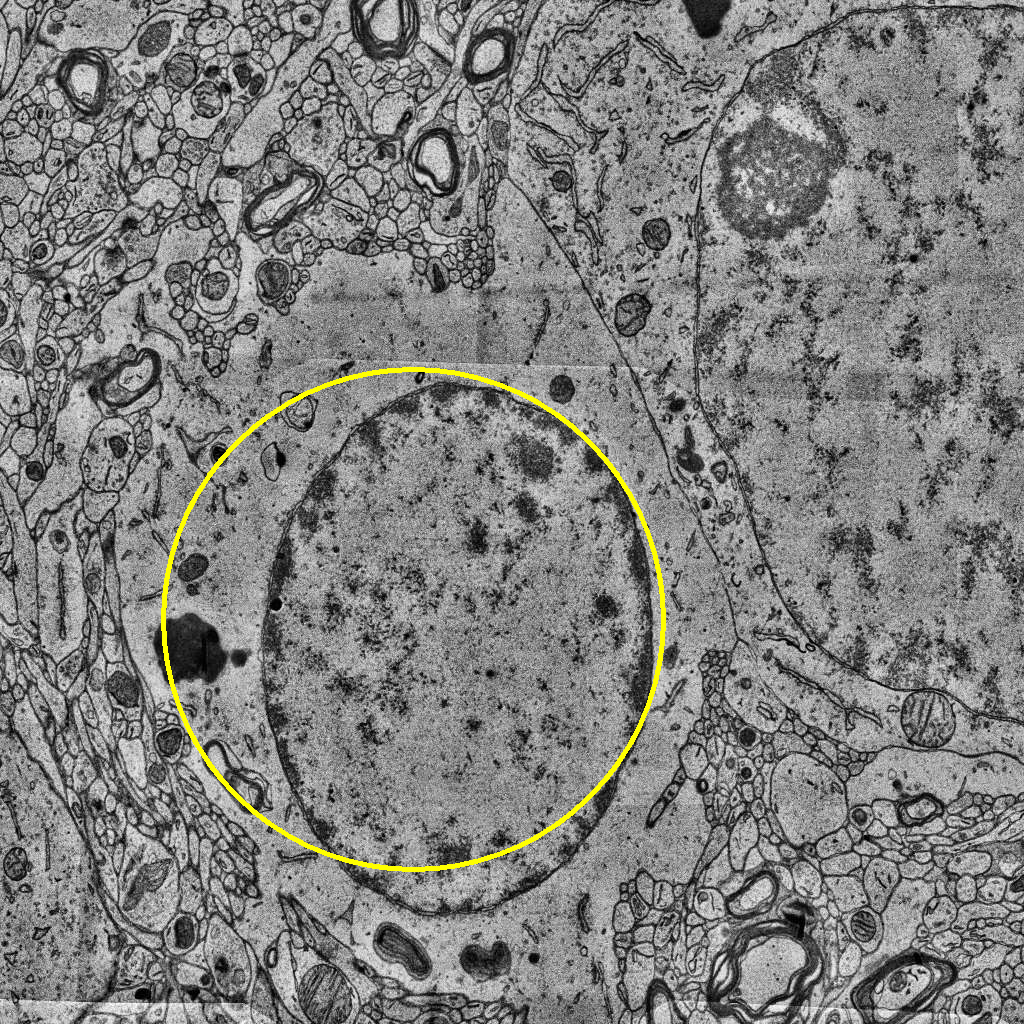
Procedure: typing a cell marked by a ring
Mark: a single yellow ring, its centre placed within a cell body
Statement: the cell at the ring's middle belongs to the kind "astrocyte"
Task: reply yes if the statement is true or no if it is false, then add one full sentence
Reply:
Yes, this is true: the cell at the ring's centre in the picture belongs to that kind.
